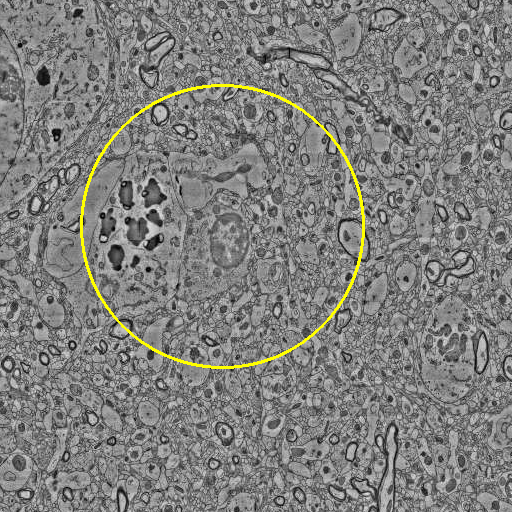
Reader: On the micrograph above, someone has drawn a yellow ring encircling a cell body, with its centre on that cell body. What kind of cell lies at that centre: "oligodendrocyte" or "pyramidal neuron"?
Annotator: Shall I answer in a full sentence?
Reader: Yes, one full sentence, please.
Here an oligodendrocyte sits at the centre of the yellow ring drawn on the micrograph.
